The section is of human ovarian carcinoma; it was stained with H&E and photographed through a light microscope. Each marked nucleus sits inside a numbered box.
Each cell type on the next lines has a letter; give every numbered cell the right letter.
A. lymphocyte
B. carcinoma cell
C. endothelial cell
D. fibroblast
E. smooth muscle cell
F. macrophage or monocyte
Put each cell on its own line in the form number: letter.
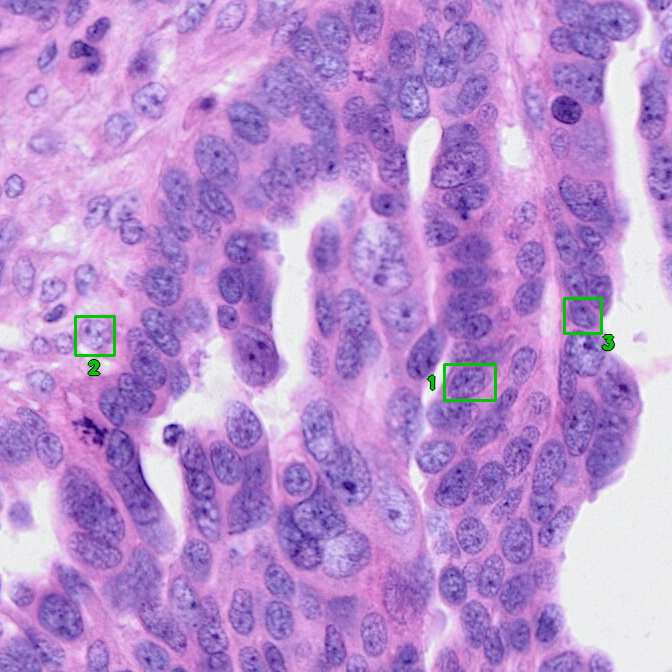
1: B
2: D
3: B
